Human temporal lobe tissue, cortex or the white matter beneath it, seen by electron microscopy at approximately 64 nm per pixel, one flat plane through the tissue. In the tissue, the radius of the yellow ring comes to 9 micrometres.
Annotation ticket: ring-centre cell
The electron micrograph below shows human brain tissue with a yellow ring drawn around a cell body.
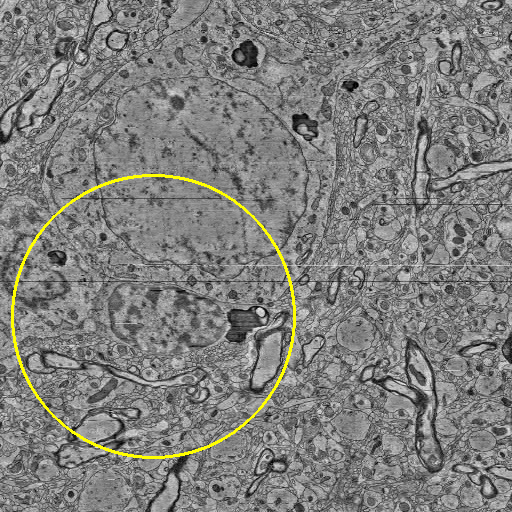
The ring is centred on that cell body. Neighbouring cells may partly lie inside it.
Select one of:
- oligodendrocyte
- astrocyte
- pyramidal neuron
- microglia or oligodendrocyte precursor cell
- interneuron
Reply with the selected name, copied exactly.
oligodendrocyte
